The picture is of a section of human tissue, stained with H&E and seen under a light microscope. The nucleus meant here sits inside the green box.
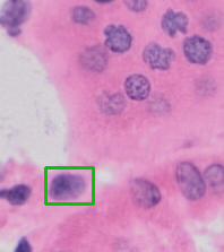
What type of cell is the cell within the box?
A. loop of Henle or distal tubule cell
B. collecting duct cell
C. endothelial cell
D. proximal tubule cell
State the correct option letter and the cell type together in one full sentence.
Option C holds, since the cell within the box is an endothelial cell.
